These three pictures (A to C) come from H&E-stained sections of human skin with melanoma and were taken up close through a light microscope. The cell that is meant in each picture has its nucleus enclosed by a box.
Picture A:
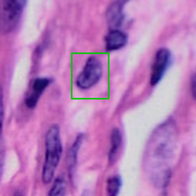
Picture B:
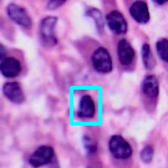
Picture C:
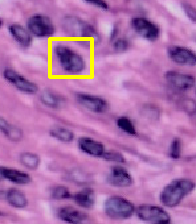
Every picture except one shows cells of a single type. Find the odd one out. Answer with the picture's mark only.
B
